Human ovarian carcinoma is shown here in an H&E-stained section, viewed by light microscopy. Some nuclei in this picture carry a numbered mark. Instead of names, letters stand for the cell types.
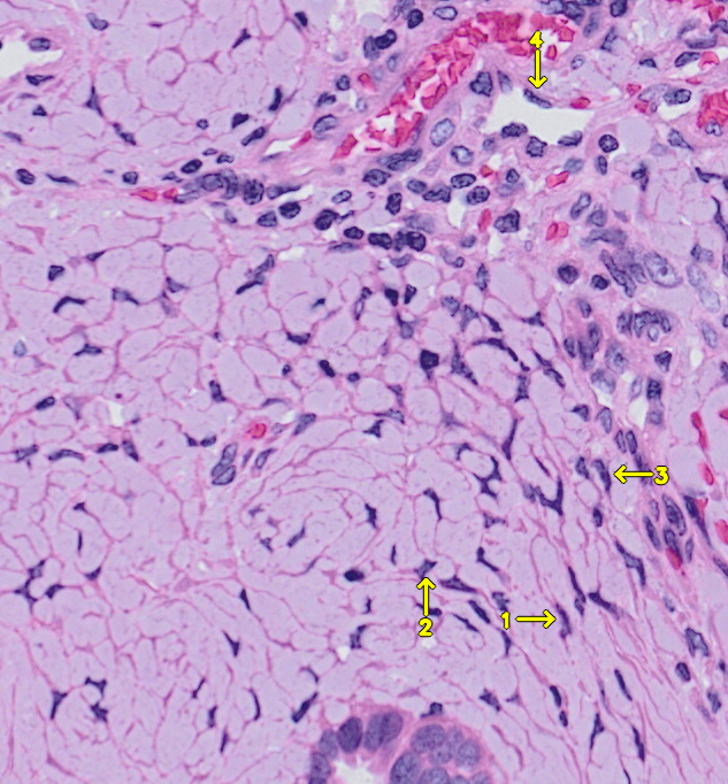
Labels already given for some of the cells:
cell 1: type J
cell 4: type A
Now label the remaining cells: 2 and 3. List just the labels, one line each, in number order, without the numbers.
type J
type J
